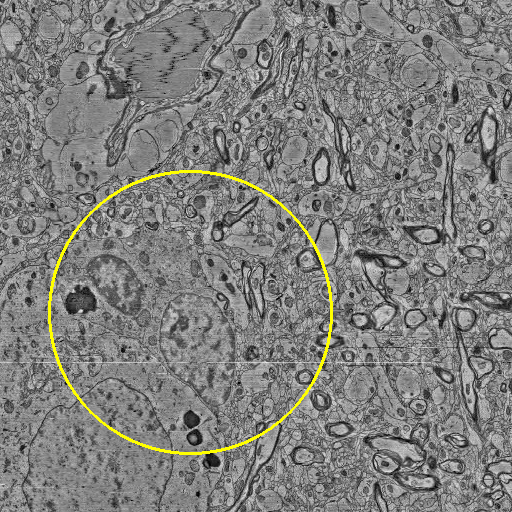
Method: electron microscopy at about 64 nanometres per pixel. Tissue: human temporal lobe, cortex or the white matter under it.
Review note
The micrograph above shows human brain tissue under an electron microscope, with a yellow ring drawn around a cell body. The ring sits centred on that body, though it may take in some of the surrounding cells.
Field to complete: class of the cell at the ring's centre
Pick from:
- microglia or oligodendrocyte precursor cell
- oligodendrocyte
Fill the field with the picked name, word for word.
oligodendrocyte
